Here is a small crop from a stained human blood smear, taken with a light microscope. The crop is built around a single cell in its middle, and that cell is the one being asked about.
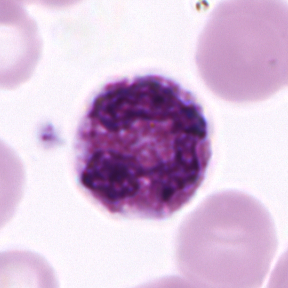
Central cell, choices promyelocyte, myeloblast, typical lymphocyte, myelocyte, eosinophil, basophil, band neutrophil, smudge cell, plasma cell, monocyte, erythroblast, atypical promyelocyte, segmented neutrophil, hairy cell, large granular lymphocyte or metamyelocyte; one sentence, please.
The middle of this crop holds an eosinophil.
